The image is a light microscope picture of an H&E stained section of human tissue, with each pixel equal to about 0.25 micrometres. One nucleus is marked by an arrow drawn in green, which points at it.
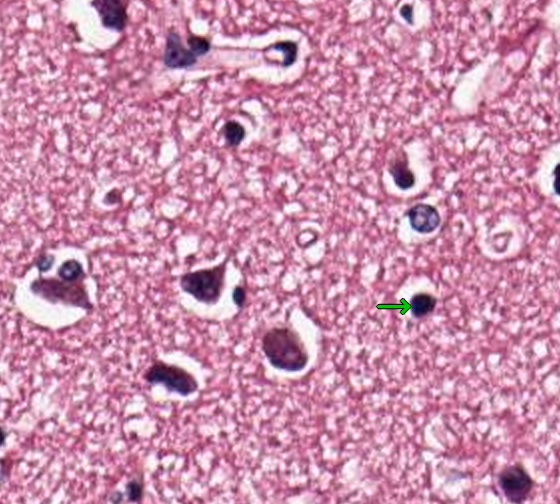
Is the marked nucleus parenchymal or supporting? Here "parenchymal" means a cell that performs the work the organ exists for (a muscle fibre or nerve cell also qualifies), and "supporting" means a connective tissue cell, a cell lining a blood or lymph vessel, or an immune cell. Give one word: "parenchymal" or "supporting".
parenchymal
